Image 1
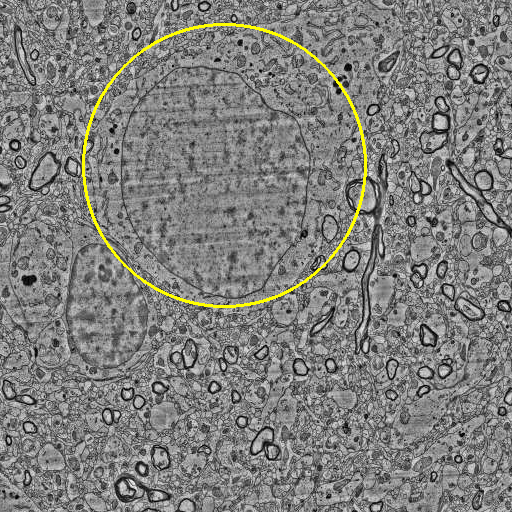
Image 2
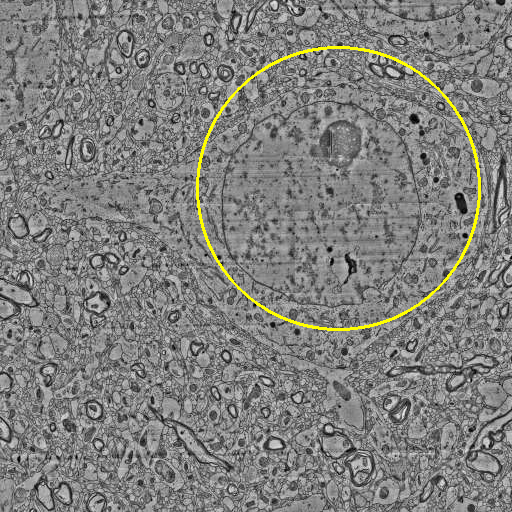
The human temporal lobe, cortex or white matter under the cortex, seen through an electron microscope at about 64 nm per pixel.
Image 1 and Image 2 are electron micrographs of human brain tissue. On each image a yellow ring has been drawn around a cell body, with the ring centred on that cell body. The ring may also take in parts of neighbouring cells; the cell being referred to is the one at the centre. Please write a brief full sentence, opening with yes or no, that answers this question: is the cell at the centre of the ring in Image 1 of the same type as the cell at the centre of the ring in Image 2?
Yes, both cells are of the same type.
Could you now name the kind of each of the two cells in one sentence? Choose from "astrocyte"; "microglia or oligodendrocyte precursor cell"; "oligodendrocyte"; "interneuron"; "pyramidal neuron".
Each cell, in the first picture and the second, is a pyramidal neuron.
